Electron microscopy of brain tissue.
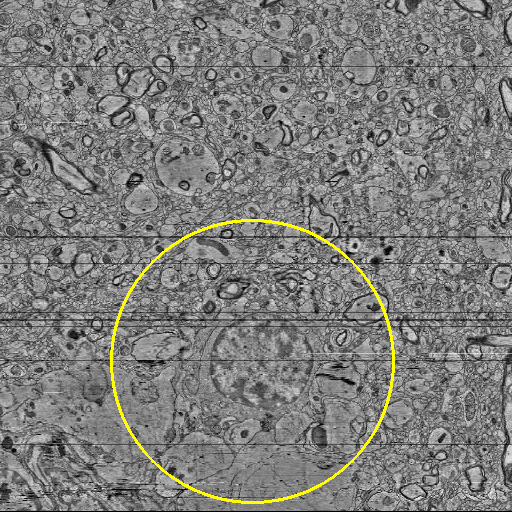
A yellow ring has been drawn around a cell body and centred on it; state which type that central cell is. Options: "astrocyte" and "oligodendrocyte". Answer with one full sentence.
The cell at the middle of the yellow ring is an oligodendrocyte in this picture.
